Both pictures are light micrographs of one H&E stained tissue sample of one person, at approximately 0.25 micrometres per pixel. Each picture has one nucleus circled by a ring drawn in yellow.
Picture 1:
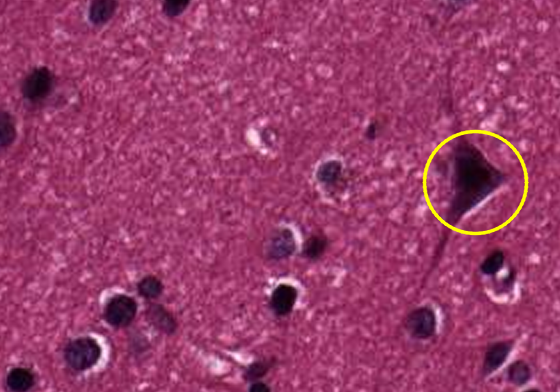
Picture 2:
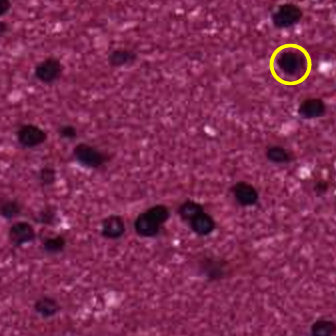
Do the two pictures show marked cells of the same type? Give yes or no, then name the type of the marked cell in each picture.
No, the first is a neuron and the second an oligodendrocyte.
